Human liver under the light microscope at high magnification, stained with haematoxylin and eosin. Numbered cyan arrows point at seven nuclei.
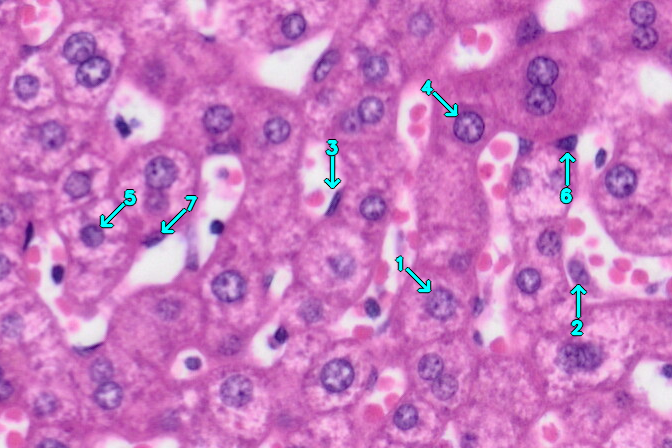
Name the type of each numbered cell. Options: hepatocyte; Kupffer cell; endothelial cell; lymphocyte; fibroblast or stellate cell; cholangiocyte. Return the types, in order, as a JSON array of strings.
["hepatocyte", "Kupffer cell", "endothelial cell", "hepatocyte", "hepatocyte", "fibroblast or stellate cell", "endothelial cell"]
